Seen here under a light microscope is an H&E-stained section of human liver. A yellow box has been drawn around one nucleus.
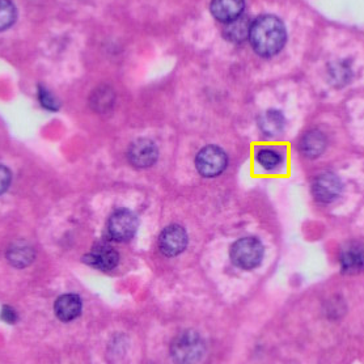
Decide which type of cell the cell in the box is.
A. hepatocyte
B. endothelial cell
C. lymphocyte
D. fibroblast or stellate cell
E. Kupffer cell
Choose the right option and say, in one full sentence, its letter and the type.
Option E matches the cell in the box, which is a Kupffer cell.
